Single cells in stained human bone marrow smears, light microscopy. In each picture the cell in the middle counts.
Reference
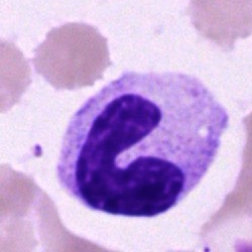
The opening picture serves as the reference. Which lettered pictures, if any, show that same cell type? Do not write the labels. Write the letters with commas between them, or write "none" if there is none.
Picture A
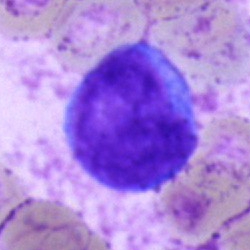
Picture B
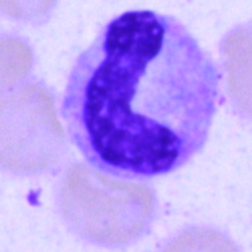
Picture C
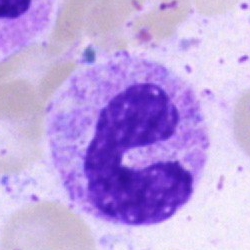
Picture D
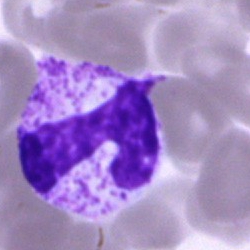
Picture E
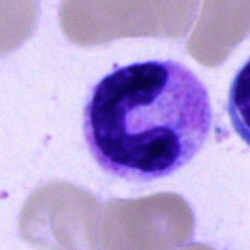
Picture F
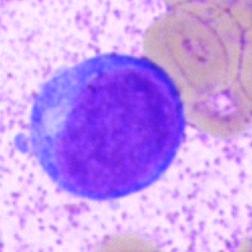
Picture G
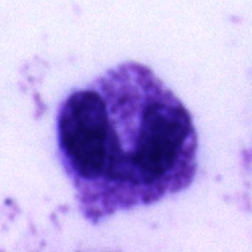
B, C, D, E, G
